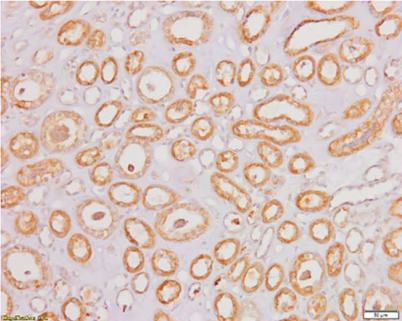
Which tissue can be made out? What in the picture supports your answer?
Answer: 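Many round and oval tubules cut in cross-section with open lumens. Tubules lined by a single layer of cuboidal epithelial cells. Thin interstitium between closely packed tubules. That points to this answer: kidney.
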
